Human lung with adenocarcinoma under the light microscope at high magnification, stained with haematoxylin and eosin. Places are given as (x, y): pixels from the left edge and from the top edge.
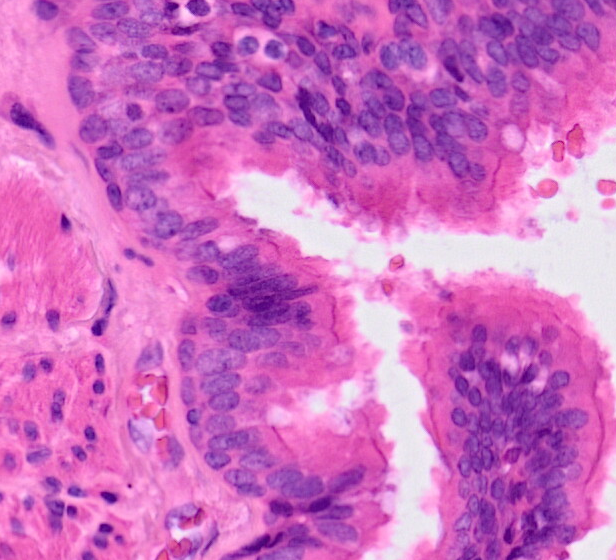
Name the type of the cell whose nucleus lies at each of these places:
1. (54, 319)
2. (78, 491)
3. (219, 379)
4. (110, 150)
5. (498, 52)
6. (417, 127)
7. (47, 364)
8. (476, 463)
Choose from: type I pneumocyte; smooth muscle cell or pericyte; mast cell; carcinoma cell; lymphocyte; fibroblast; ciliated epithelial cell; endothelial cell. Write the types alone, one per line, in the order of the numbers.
smooth muscle cell or pericyte
smooth muscle cell or pericyte
ciliated epithelial cell
ciliated epithelial cell
ciliated epithelial cell
ciliated epithelial cell
smooth muscle cell or pericyte
ciliated epithelial cell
